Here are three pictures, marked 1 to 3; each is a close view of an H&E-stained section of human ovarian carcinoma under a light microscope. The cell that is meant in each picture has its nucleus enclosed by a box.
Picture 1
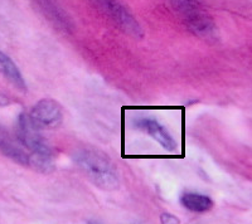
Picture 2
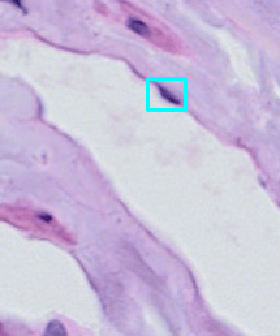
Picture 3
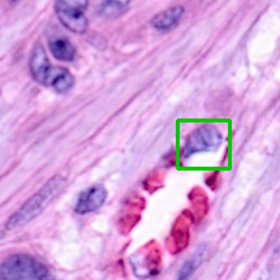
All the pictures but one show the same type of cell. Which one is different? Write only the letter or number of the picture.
1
